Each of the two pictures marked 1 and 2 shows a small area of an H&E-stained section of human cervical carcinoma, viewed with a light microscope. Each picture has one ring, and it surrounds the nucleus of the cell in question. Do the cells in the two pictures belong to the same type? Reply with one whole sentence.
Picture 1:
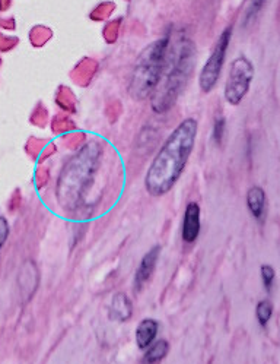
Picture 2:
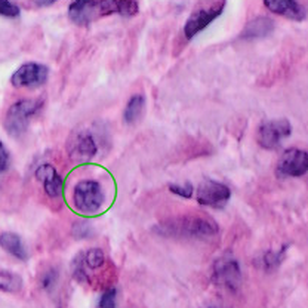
No. Picture 1 shows an endothelial cell, but picture 2 shows a lymphocyte.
